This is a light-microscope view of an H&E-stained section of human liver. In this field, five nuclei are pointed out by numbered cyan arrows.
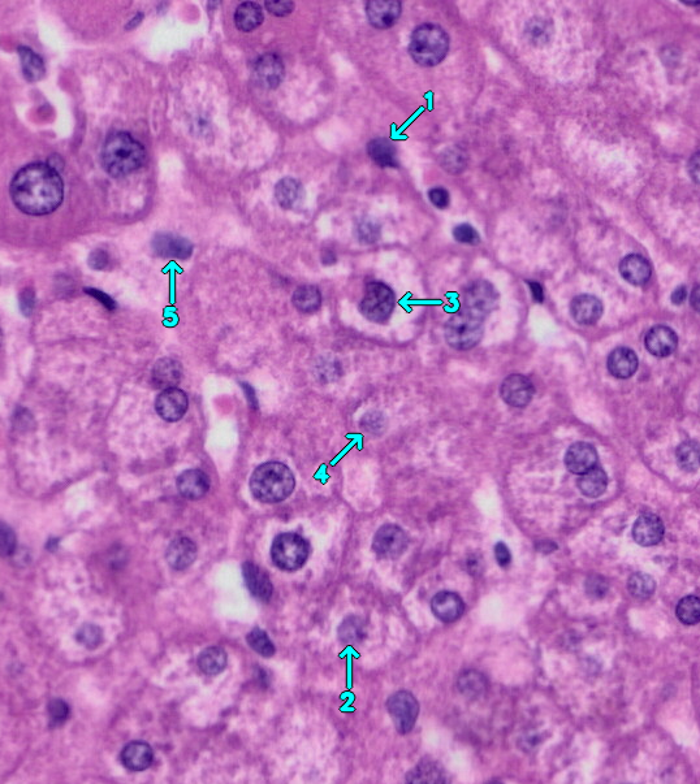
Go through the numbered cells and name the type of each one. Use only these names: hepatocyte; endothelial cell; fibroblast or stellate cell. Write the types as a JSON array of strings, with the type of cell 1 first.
["fibroblast or stellate cell", "hepatocyte", "hepatocyte", "hepatocyte", "endothelial cell"]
